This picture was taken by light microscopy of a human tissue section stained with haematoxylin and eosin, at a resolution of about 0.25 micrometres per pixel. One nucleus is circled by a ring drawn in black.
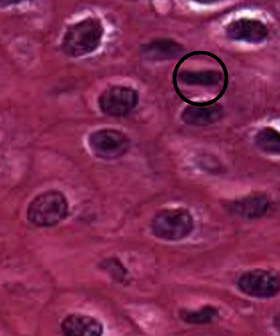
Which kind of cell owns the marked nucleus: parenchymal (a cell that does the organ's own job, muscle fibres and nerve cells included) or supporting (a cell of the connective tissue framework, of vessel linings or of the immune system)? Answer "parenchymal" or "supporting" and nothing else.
parenchymal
